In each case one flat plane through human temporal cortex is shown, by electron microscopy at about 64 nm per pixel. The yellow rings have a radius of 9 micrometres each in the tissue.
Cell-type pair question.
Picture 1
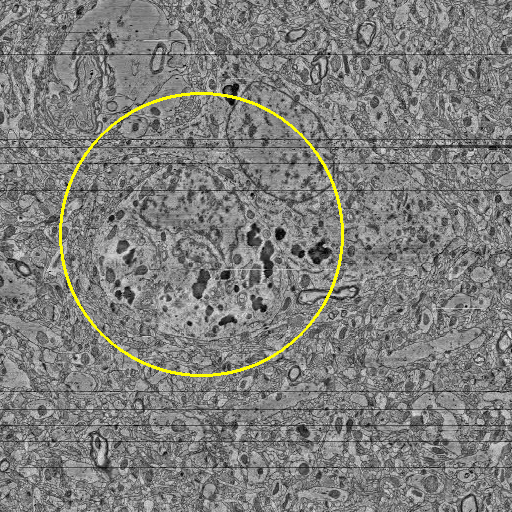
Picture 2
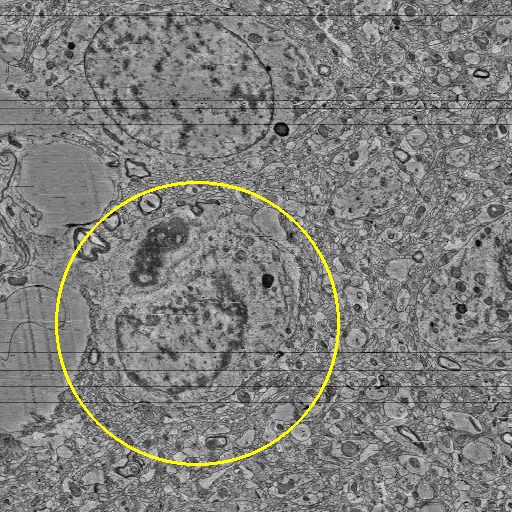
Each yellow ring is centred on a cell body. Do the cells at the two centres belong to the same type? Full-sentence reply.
Yes, the two cells belong to the same type.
